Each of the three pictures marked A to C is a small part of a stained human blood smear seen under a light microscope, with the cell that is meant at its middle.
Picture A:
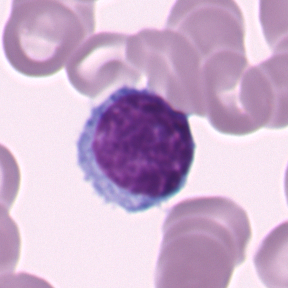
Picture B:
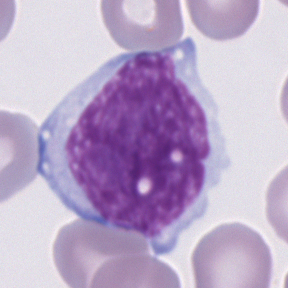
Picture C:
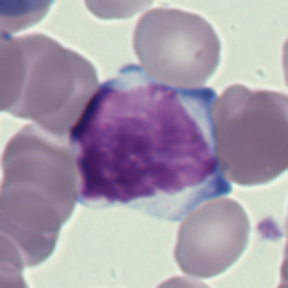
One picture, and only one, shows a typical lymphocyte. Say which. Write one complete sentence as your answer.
It is picture A that shows the typical lymphocyte.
